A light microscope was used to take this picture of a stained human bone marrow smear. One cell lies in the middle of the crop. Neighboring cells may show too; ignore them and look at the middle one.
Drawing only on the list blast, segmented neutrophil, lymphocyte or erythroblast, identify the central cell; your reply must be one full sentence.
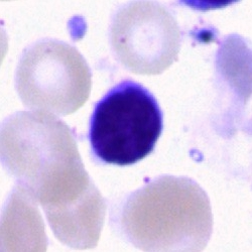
The centrally placed cell is classified as a lymphocyte.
